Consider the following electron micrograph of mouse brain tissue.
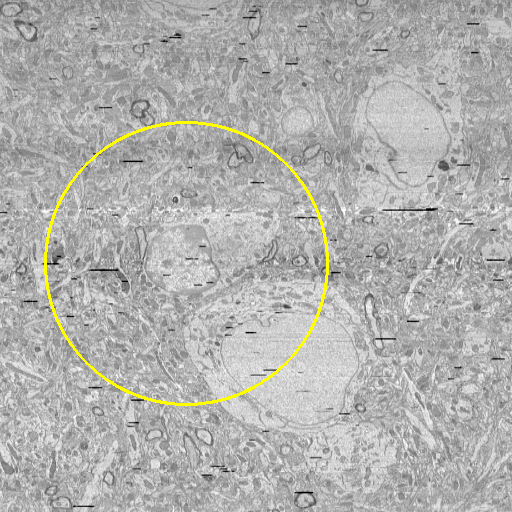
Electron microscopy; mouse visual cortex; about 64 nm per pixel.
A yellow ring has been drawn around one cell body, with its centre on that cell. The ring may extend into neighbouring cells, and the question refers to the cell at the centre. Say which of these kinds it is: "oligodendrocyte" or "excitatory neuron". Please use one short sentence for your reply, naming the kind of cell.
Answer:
The centre of the ring falls on an oligodendrocyte.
